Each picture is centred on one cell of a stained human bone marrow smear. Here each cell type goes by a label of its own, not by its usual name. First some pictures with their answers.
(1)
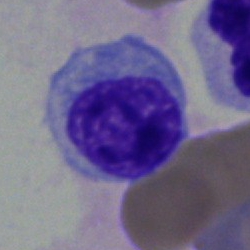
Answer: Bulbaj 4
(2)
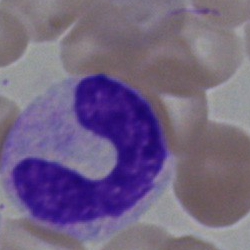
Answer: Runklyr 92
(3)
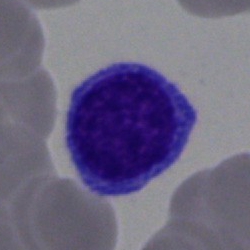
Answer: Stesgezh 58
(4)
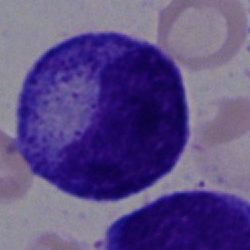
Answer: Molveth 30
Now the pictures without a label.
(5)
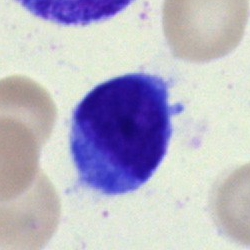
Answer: Stesgezh 58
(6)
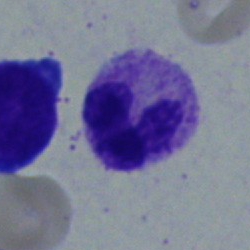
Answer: Runklyr 92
